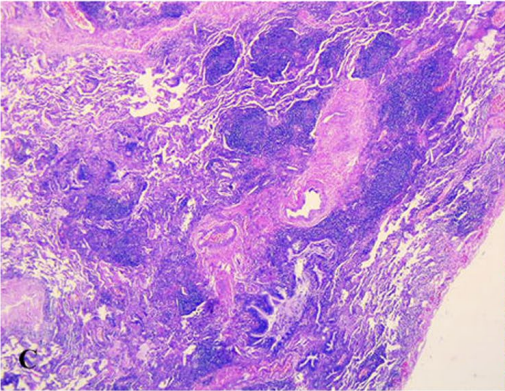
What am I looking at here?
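At low power this lung tissue shows multiple rounded lymphoid follicles, seen as dense dark-purple aggregates. They are scattered through fibrotic, pink-stained tissue. Several follicles sit around small airways and vessels with thick pink walls. Elsewhere the tissue is loose and partly fibrous, with pale spaces between the strands.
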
